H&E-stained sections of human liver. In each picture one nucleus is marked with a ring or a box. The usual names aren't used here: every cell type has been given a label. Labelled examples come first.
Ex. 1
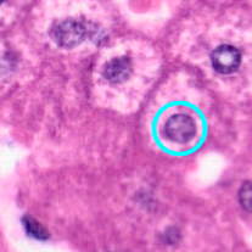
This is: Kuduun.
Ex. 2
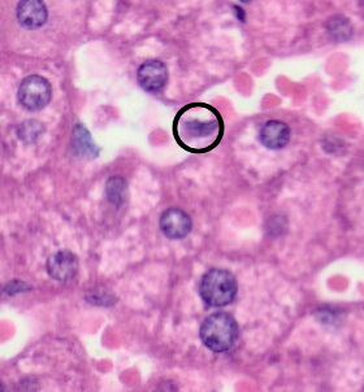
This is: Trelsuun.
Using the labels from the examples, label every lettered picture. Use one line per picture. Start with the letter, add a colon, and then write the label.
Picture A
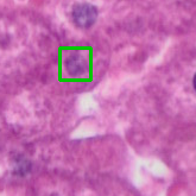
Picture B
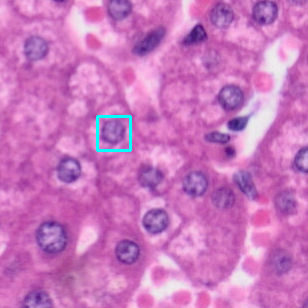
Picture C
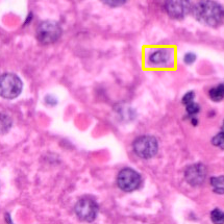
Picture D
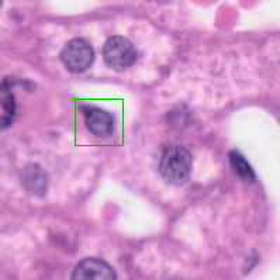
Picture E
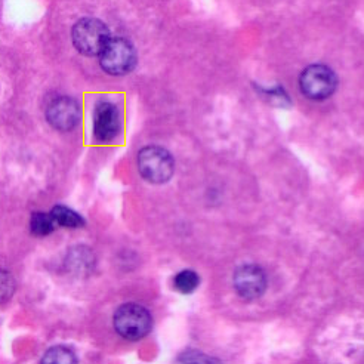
A: Kuduun.
B: Kuduun.
C: Trelsuun.
D: Trelsuun.
E: Trelsuun.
